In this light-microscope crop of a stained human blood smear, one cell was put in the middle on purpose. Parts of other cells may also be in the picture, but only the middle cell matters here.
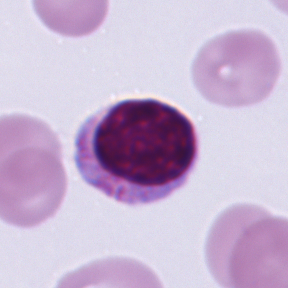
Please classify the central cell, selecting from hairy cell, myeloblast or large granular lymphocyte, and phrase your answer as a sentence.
This particular crop is centered on a large granular lymphocyte.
